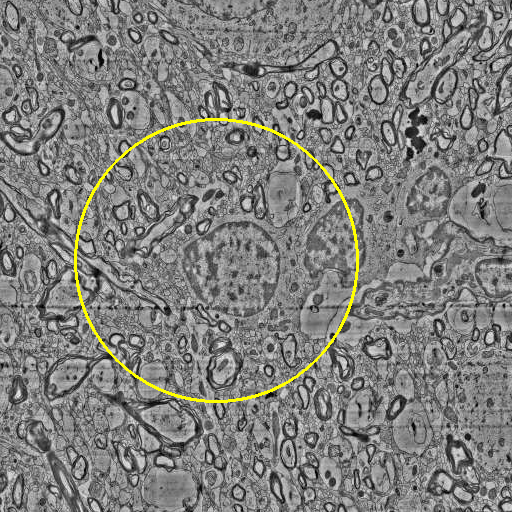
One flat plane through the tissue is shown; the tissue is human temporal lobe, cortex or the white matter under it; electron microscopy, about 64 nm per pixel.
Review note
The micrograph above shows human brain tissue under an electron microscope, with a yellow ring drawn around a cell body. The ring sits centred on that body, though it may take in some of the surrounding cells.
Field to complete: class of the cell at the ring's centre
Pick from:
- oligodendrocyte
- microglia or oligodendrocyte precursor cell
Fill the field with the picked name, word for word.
oligodendrocyte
